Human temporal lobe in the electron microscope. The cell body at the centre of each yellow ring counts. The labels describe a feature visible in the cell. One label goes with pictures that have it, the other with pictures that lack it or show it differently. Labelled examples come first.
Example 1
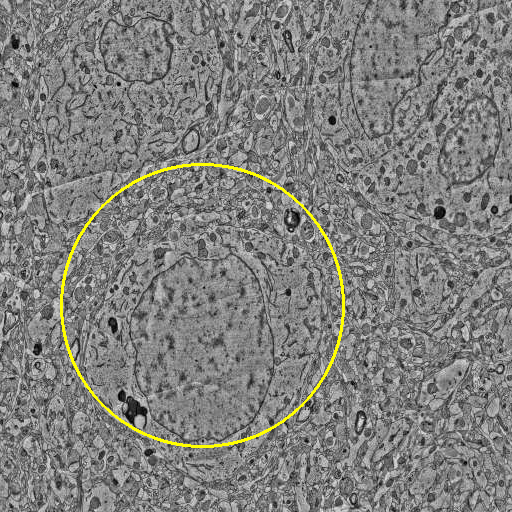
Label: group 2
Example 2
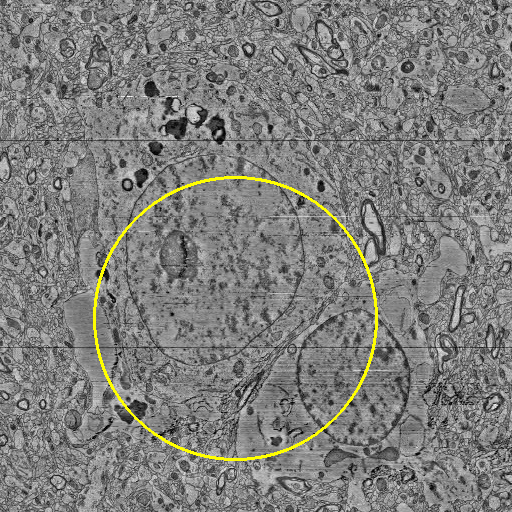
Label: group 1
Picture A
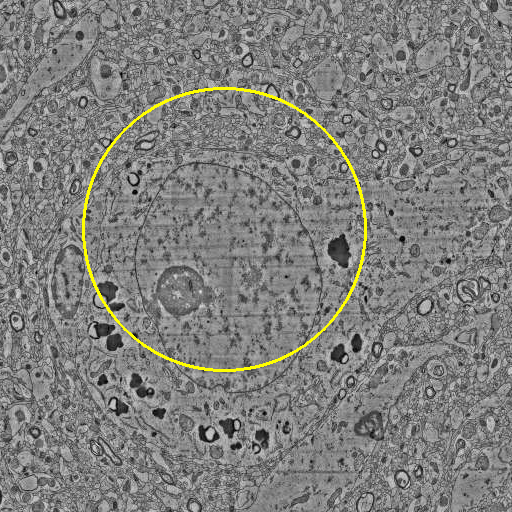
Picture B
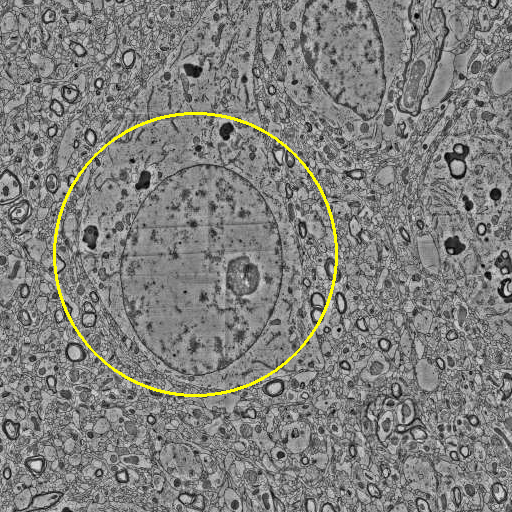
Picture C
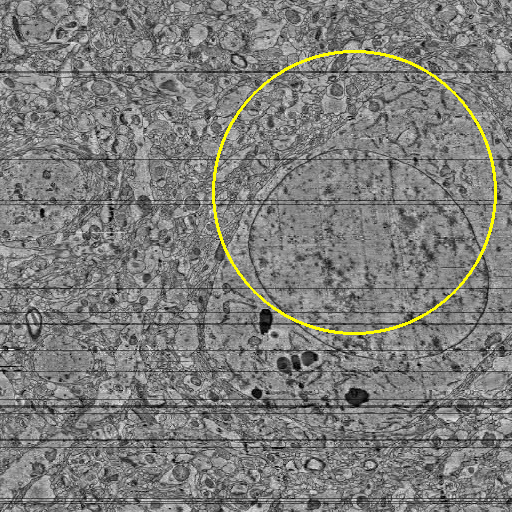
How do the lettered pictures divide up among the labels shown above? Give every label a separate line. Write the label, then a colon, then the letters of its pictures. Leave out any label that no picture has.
group 2: C
group 1: A, B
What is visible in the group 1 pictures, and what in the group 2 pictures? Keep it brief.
group 1, nucleolus seen; group 2, no nucleolus seen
